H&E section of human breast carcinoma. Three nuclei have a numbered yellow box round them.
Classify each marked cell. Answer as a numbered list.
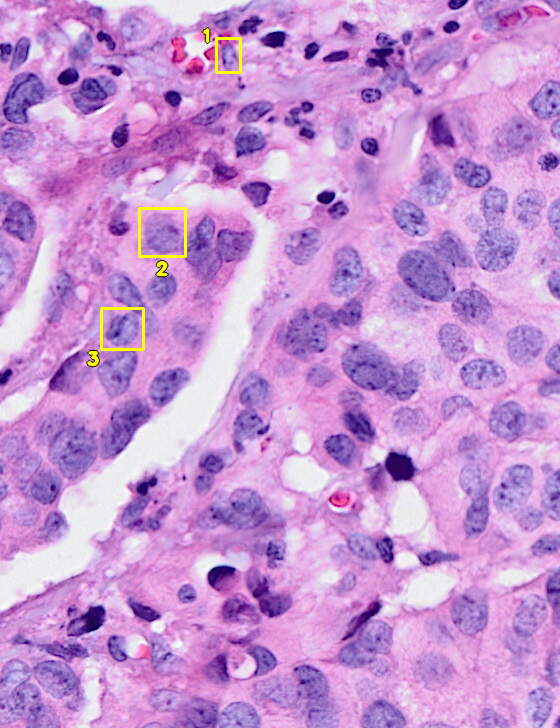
1. endothelial cell
2. carcinoma cell
3. carcinoma cell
